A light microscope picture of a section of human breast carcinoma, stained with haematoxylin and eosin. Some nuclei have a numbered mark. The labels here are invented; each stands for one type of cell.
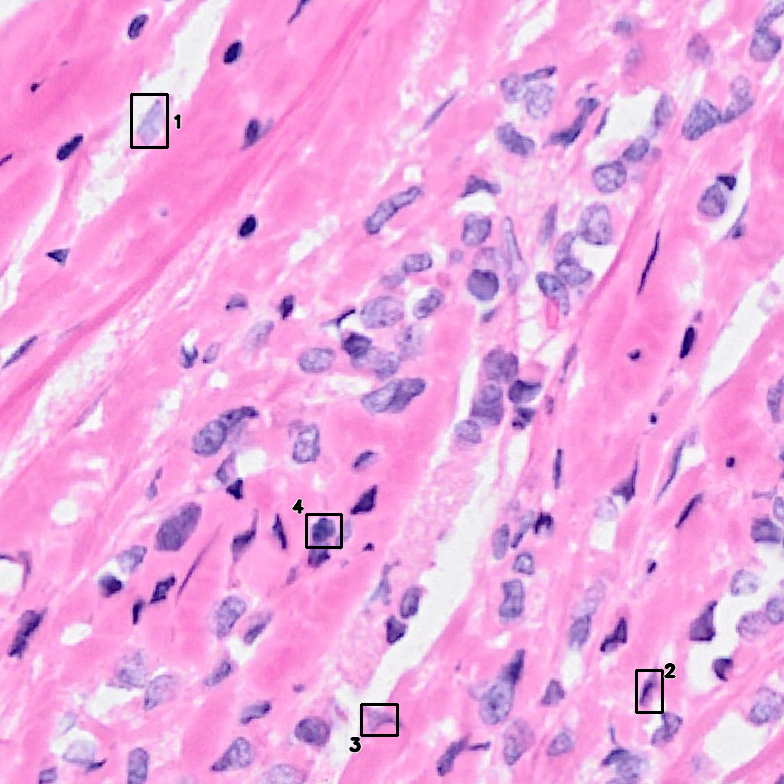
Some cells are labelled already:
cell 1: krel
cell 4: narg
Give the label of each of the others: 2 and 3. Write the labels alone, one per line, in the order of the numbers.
krel
krel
